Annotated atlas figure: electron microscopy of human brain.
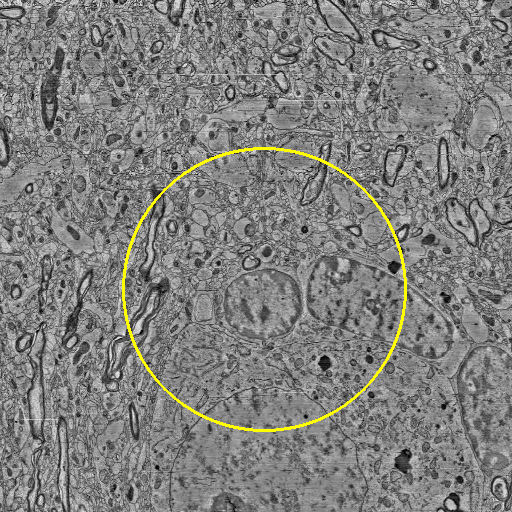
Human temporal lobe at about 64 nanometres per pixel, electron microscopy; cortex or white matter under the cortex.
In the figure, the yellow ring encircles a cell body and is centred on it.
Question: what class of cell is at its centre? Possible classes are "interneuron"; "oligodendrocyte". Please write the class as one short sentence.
The yellow ring is drawn around an oligodendrocyte.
